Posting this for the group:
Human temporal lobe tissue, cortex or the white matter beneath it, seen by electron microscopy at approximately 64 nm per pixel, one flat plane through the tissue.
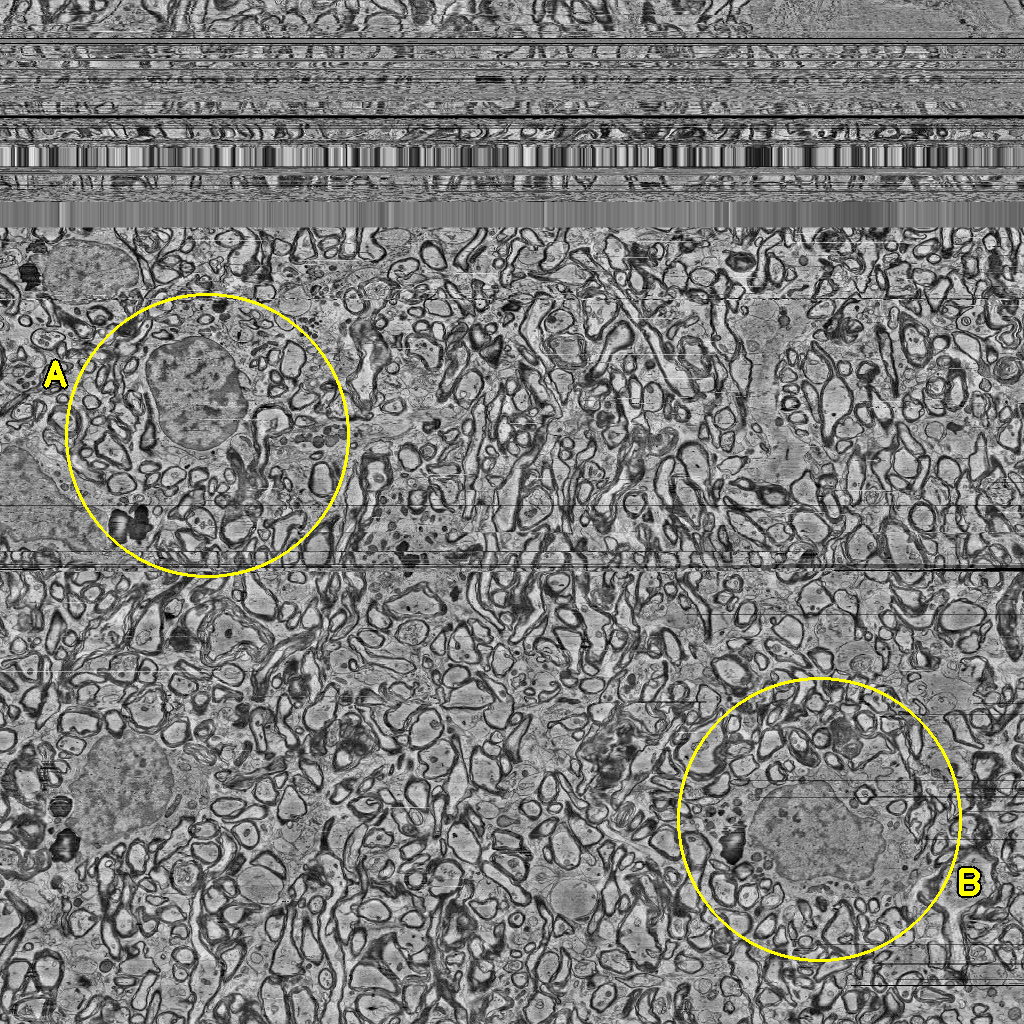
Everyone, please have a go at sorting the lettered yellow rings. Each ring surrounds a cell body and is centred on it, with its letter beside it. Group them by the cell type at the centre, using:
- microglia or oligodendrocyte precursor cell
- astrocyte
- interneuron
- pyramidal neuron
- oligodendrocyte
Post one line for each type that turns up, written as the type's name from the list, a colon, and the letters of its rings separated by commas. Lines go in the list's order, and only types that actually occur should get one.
microglia or oligodendrocyte precursor cell: A
oligodendrocyte: B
